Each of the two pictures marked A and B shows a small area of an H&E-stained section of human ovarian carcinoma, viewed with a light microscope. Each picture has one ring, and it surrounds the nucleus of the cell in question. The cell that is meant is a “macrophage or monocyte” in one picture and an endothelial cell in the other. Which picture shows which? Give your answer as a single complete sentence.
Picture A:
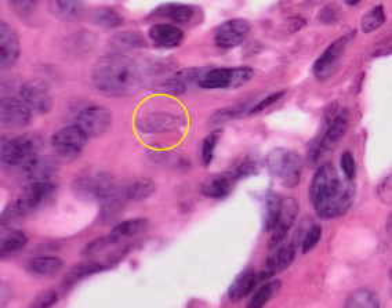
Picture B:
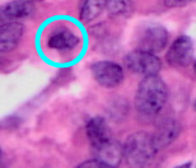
The cell in picture A is an endothelial cell, and the one in picture B is a “macrophage or monocyte”.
